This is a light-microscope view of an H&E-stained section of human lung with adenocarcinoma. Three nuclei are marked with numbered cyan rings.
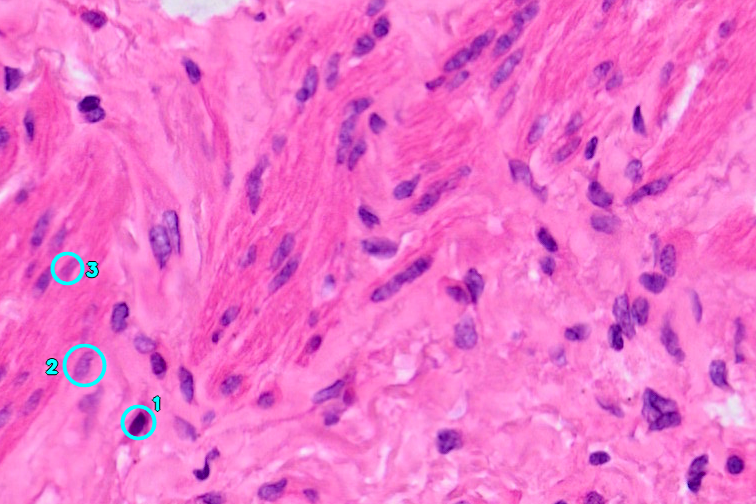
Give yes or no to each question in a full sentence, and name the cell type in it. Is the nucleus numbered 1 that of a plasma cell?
Yes, the cell at number 1 is a plasma cell.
